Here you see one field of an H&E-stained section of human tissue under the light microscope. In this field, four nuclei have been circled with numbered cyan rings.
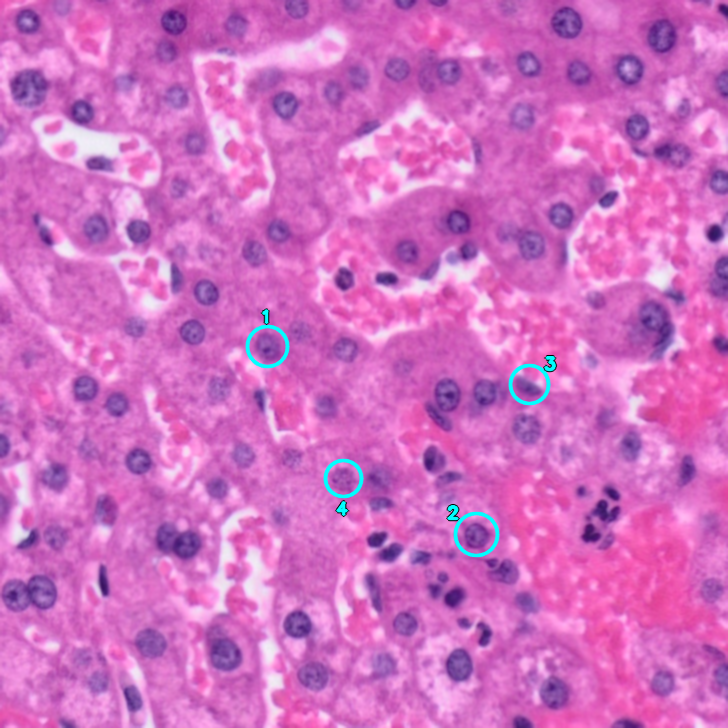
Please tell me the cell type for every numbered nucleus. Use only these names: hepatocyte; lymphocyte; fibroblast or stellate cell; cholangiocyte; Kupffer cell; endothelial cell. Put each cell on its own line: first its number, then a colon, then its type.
1: hepatocyte
2: hepatocyte
3: endothelial cell
4: hepatocyte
